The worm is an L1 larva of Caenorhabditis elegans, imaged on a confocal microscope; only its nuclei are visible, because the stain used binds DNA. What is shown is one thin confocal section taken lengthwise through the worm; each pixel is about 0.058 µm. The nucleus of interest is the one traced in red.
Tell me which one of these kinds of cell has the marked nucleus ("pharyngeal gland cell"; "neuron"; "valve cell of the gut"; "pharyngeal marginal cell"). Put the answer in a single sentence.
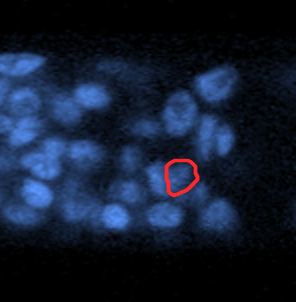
The marked nucleus belongs to a valve cell of the gut.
